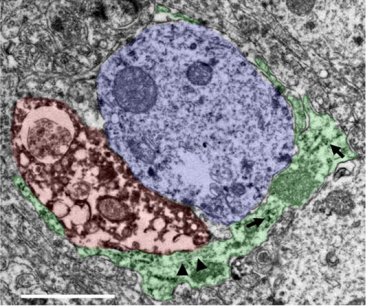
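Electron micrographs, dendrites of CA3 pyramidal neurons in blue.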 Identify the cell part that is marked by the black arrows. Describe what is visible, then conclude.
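Glycogen granules. The arrows point to small dark dots in the green-shaded profile.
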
